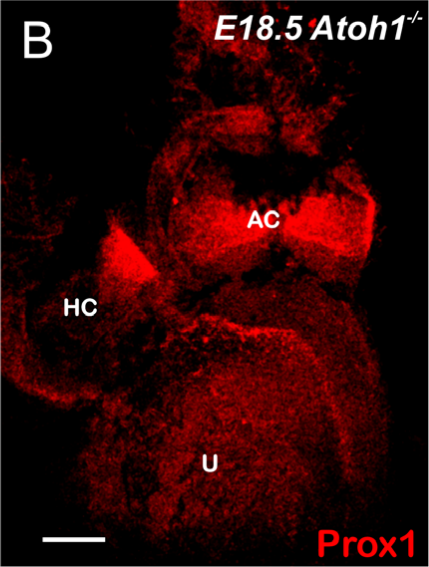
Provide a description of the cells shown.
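This shows the sensory epithelia of the vestibular part of the inner ear, with two crests brightly stained red and a larger, more faintly stained patch below. The crests appear as dense fan-shaped red areas, while the lower patch has a mottled, weaker red texture.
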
